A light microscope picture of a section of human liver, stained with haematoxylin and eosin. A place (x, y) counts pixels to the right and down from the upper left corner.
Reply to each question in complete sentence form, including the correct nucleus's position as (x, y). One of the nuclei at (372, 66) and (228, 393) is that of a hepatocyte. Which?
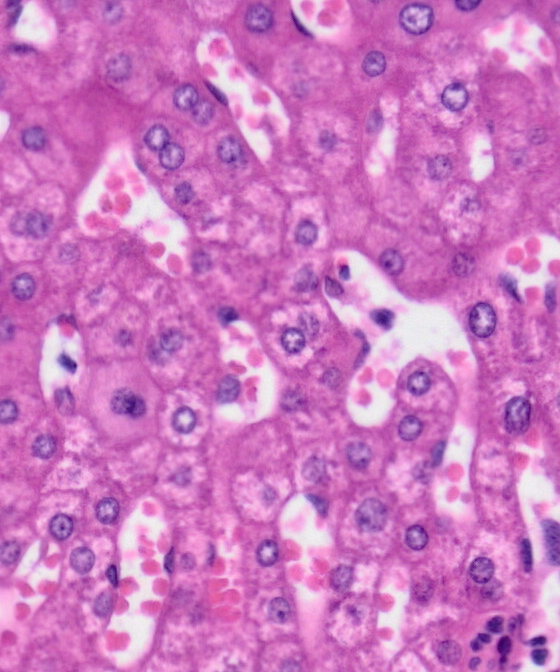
Of the two nuclei, the nucleus of a hepatocyte is at (372, 66).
